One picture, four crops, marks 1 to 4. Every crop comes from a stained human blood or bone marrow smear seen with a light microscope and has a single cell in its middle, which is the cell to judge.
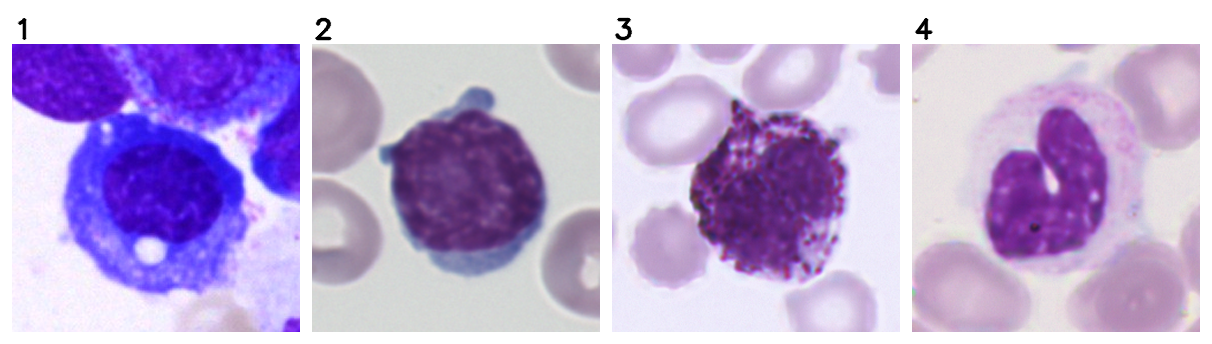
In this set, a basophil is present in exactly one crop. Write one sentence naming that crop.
The cell identified as a basophil is the one in crop 3.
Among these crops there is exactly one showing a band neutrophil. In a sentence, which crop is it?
The one showing a band neutrophil is the crop labelled 4.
